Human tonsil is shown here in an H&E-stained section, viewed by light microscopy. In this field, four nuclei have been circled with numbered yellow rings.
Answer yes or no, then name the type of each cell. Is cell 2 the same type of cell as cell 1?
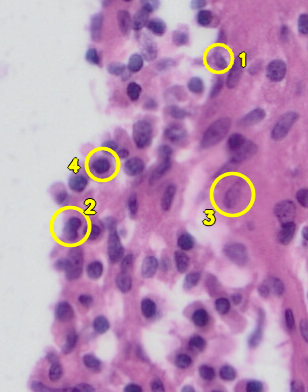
Yes, cell 2 is one of the squamous epithelial cells, and so is cell 1.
